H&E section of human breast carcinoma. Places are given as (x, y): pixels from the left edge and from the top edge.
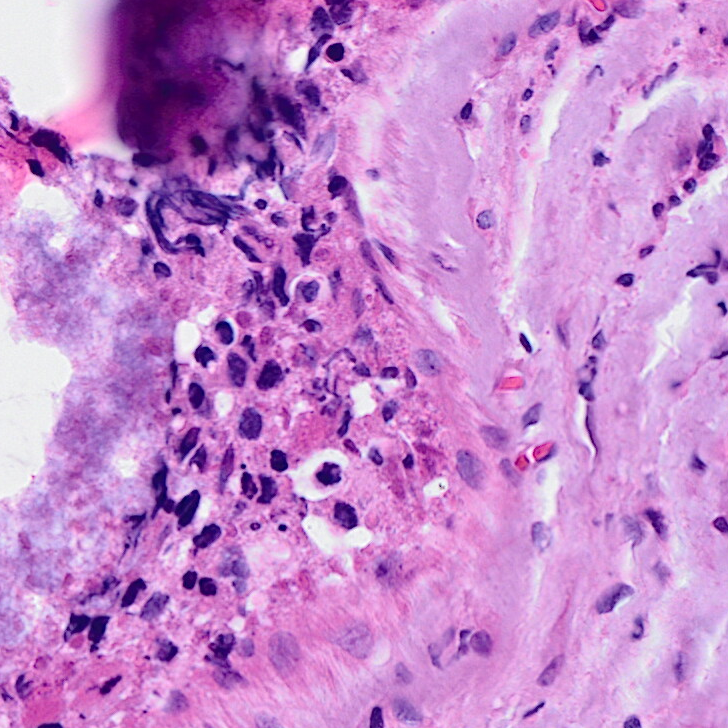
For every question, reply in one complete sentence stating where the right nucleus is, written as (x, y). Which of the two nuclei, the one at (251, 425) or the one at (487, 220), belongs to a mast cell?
The nucleus of a mast cell is the one at (487, 220).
